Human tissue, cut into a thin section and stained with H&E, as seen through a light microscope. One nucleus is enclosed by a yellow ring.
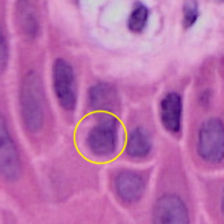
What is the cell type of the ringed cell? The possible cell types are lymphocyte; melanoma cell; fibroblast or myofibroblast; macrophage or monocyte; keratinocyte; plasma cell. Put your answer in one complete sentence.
By cell type, the ringed cell is a keratinocyte.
